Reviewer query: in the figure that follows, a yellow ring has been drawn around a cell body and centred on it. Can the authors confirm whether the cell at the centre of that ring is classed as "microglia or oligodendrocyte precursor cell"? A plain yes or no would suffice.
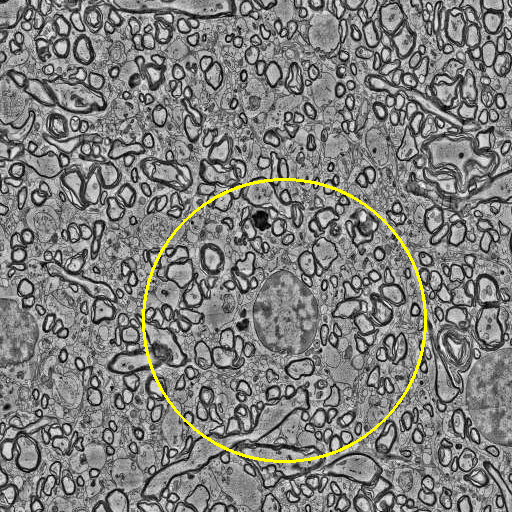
yes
